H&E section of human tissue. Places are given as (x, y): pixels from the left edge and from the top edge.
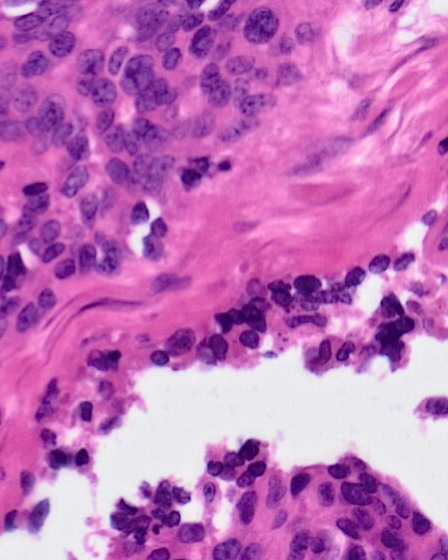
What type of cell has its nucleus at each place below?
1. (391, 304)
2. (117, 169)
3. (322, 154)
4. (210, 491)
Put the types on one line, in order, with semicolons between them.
carcinoma cell; carcinoma cell; fibroblast; macrophage or monocyte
